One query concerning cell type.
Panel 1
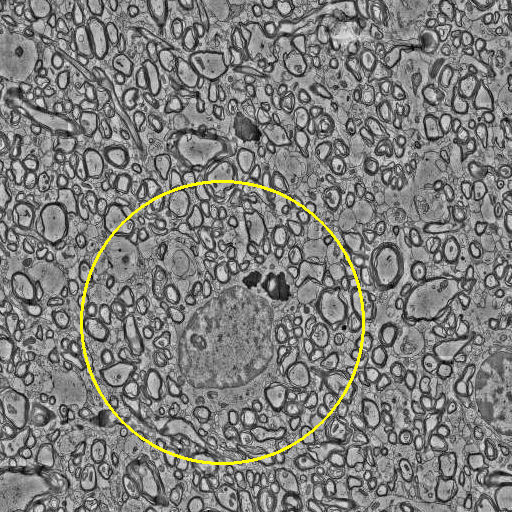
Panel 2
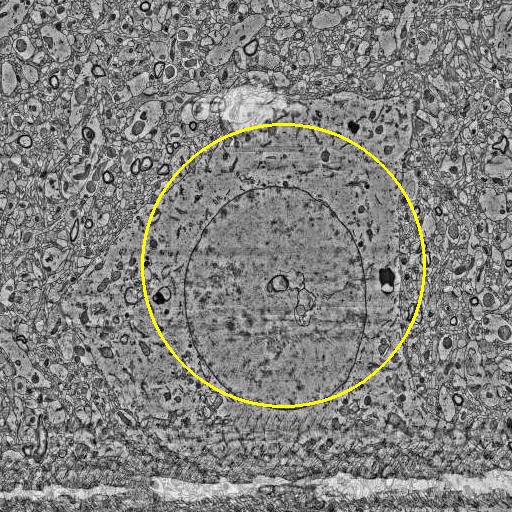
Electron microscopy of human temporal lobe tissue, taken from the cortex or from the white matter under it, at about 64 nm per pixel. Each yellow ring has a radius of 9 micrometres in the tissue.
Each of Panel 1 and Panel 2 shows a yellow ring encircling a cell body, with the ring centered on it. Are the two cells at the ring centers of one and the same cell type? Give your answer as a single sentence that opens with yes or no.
No, the cell centered in Panel 1 and the one in Panel 2 are of two types.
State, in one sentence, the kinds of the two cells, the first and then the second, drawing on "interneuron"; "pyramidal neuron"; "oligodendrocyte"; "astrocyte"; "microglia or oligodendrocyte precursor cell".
The ring in the second picture is centred on a pyramidal neuron, the ring in the first on an oligodendrocyte.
